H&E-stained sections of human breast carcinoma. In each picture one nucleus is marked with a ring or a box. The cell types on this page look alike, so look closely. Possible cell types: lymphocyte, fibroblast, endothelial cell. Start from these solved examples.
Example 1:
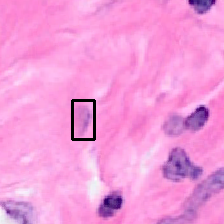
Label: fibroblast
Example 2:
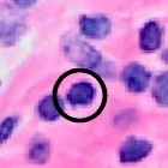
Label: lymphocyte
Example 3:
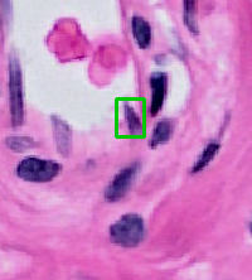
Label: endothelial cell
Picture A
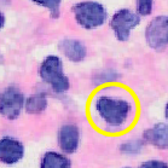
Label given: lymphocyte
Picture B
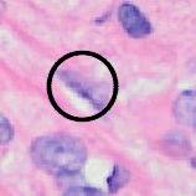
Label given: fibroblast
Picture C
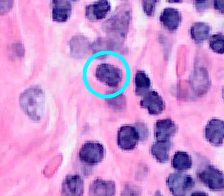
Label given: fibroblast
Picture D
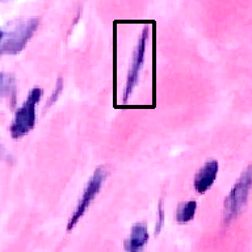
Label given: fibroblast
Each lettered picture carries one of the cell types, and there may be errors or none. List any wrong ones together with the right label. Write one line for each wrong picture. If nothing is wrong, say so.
Wrong: C (fibroblast); correct: lymphocyte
